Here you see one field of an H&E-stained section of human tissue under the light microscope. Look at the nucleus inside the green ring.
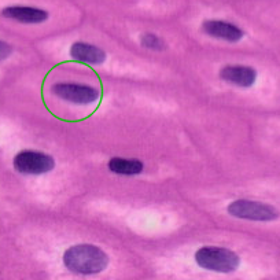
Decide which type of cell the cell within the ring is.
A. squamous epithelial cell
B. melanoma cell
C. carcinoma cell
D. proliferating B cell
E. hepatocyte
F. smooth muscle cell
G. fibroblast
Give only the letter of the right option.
A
